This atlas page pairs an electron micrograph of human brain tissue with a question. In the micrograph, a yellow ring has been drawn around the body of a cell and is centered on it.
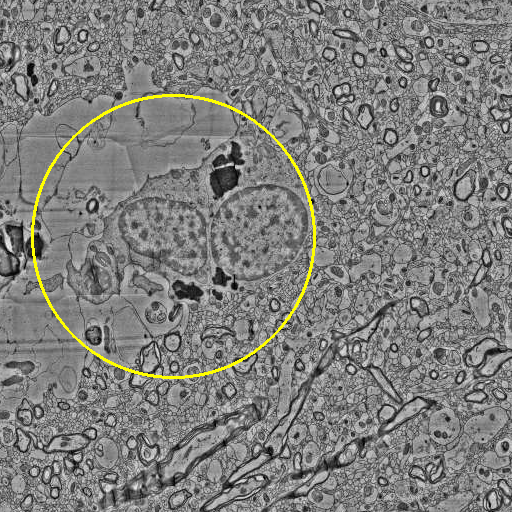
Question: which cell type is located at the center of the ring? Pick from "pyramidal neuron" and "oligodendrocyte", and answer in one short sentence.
Located at the center of the ring is an oligodendrocyte.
